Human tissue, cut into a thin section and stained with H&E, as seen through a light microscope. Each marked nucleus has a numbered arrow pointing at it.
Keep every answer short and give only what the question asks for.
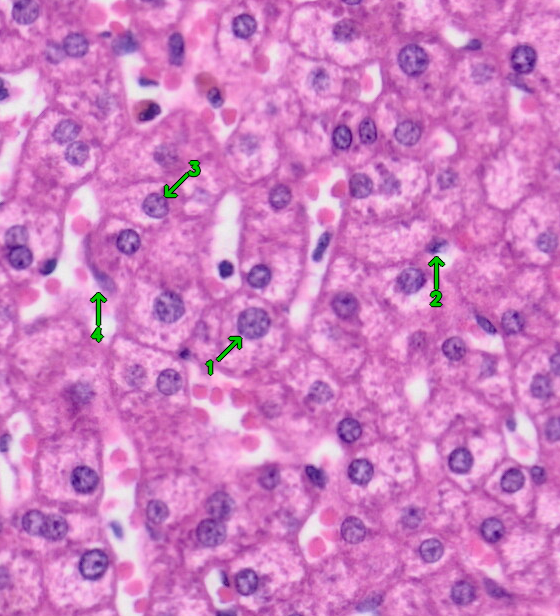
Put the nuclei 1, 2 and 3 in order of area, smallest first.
2, 3, 1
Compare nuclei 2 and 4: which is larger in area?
4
